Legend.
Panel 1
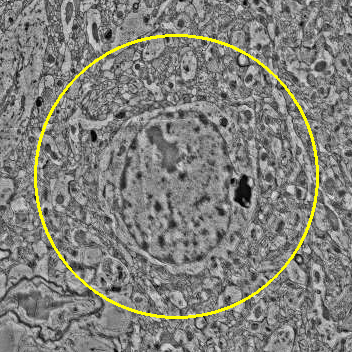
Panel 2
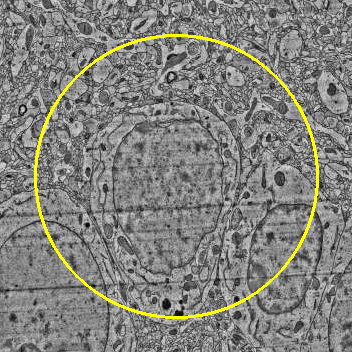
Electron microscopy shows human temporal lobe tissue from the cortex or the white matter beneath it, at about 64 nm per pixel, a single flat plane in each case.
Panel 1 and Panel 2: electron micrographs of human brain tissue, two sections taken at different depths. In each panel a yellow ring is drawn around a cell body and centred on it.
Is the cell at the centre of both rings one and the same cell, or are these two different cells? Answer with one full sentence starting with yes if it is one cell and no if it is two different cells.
No, the rings identify two cells, not one shared cell.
